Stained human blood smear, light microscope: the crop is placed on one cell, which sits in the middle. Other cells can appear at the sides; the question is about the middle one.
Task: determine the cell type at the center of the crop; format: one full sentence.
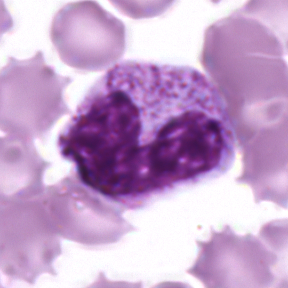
Positioned in the middle of the crop is a band neutrophil.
